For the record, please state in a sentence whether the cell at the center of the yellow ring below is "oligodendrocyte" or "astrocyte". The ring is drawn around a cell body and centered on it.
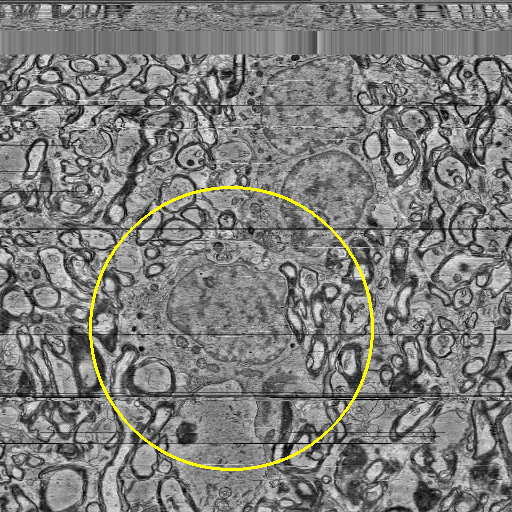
The cell at the ring's center is an oligodendrocyte.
